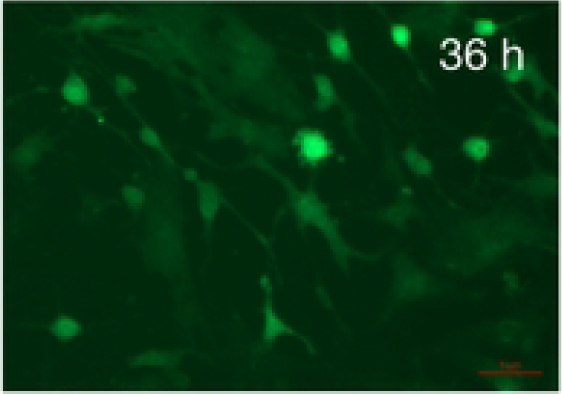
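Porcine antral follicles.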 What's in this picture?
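Some cells are flattened and irregular in shape, with a dimmer green body. Others are small and rounded, and these shine much more brightly, with a few standing out as intense green spots. The green fills the whole cell body, and the flattened cells are fainter at their edges.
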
